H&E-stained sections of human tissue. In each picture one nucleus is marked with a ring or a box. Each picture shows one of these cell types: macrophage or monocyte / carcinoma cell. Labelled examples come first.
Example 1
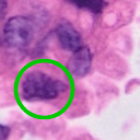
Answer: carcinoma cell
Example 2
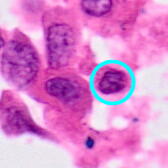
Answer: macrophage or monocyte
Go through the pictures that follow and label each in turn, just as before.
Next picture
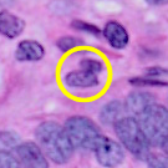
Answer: macrophage or monocyte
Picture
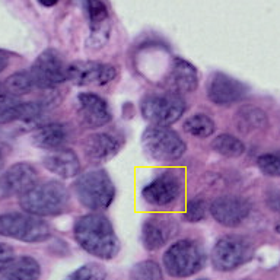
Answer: carcinoma cell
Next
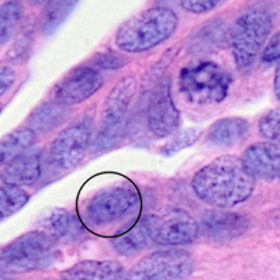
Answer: carcinoma cell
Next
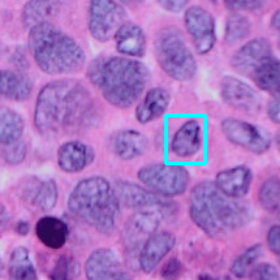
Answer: macrophage or monocyte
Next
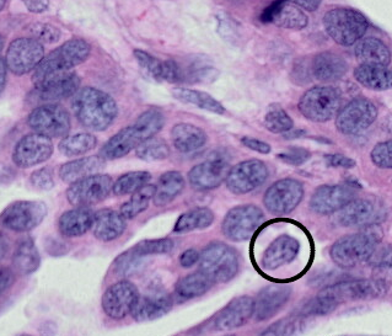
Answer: macrophage or monocyte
